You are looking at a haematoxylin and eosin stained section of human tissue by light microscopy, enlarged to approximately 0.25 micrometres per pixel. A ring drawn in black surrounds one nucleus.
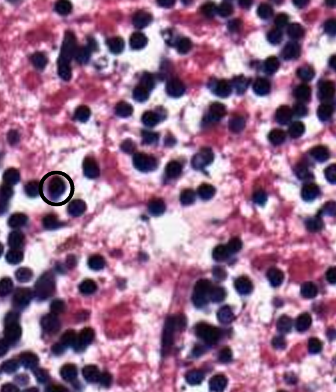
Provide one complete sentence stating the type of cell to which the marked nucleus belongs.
In this image, the nucleus that is marked belongs to a cerebellar granule cell.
